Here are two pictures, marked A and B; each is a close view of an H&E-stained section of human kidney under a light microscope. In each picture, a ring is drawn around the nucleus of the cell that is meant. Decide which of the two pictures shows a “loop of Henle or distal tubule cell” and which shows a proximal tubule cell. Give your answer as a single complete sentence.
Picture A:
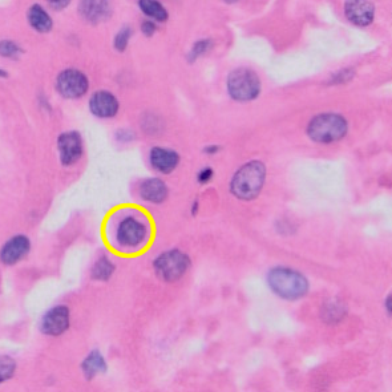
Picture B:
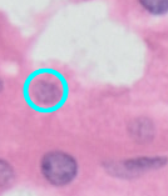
The cell in picture A is a “loop of Henle or distal tubule cell”, and the one in picture B is a proximal tubule cell.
